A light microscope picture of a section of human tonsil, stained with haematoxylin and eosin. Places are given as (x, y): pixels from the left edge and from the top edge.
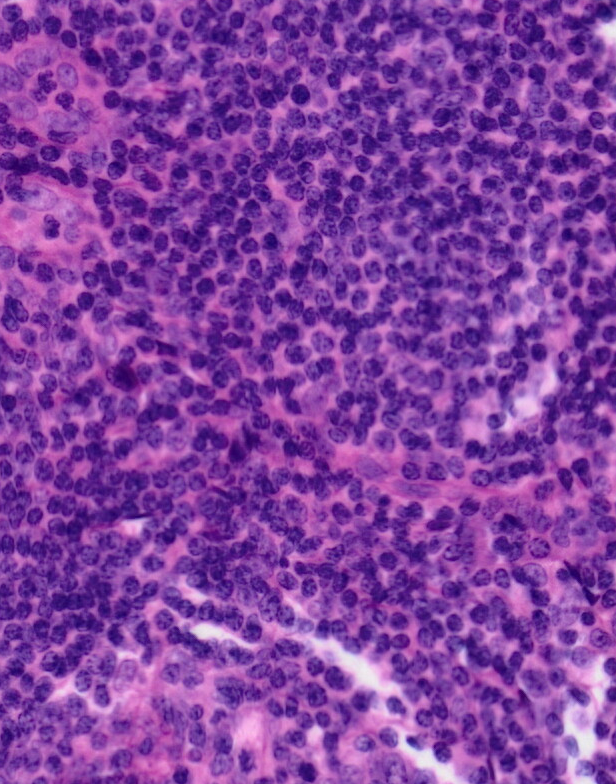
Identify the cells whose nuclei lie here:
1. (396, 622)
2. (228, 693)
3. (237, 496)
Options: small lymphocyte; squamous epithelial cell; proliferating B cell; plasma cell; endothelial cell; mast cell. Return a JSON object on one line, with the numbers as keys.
{"1": "small lymphocyte", "2": "proliferating B cell", "3": "small lymphocyte"}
